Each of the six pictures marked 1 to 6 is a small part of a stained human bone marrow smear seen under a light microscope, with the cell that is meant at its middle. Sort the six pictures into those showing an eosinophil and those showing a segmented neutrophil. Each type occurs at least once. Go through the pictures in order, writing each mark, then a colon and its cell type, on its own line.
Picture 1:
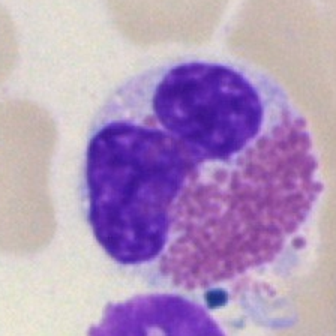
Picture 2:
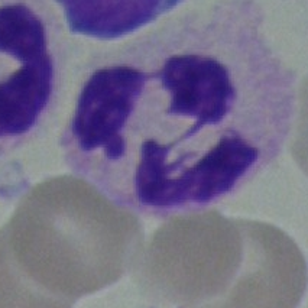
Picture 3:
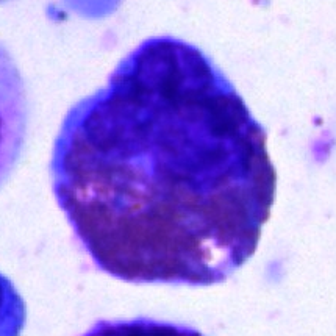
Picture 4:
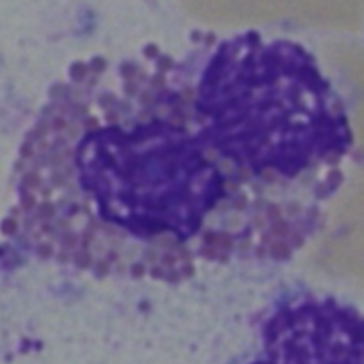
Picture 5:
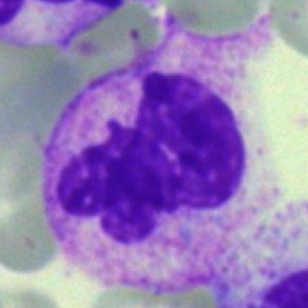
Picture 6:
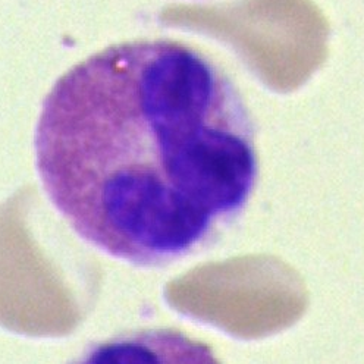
1: eosinophil
2: segmented neutrophil
3: eosinophil
4: eosinophil
5: segmented neutrophil
6: eosinophil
